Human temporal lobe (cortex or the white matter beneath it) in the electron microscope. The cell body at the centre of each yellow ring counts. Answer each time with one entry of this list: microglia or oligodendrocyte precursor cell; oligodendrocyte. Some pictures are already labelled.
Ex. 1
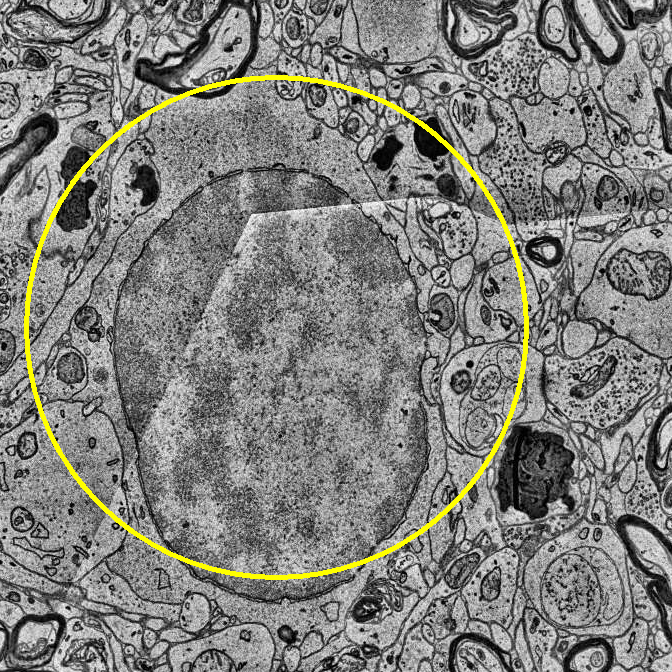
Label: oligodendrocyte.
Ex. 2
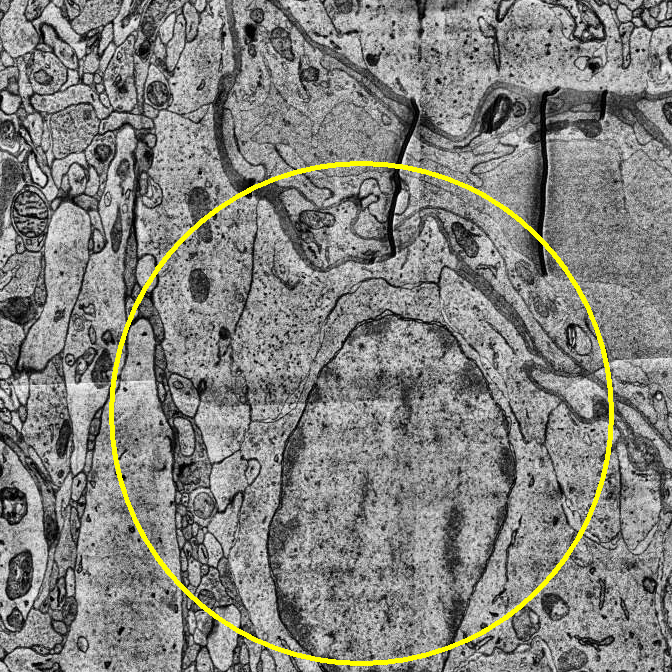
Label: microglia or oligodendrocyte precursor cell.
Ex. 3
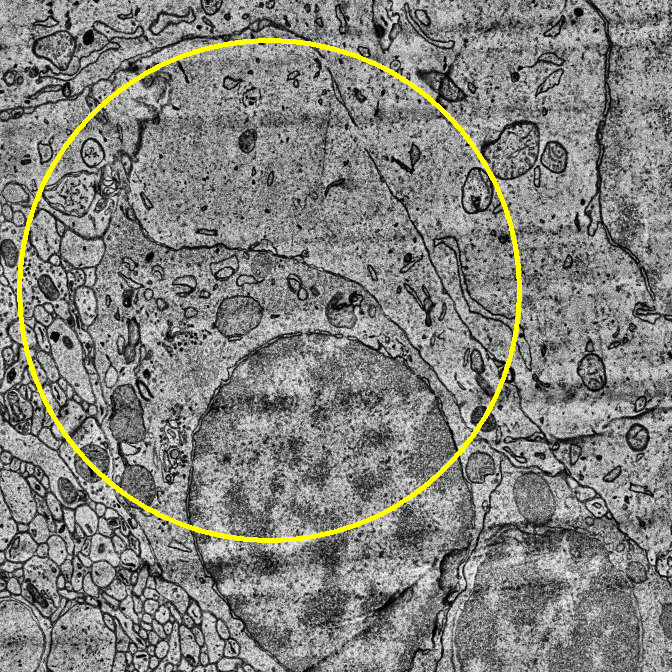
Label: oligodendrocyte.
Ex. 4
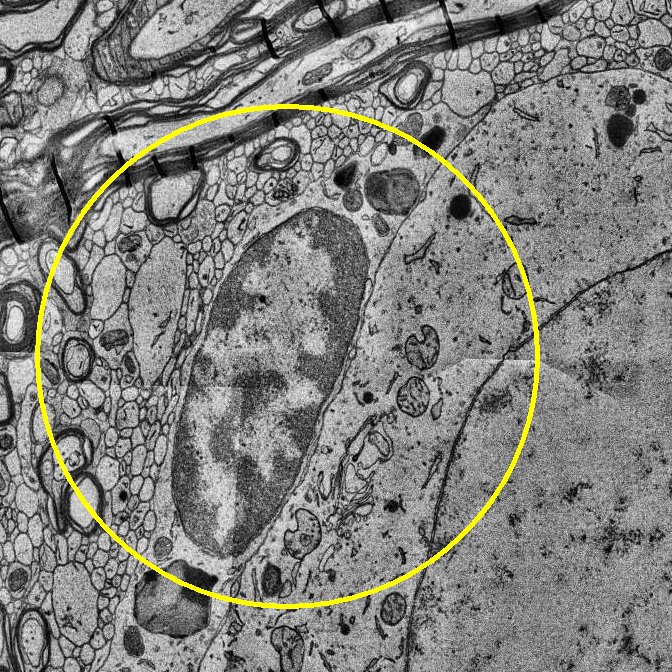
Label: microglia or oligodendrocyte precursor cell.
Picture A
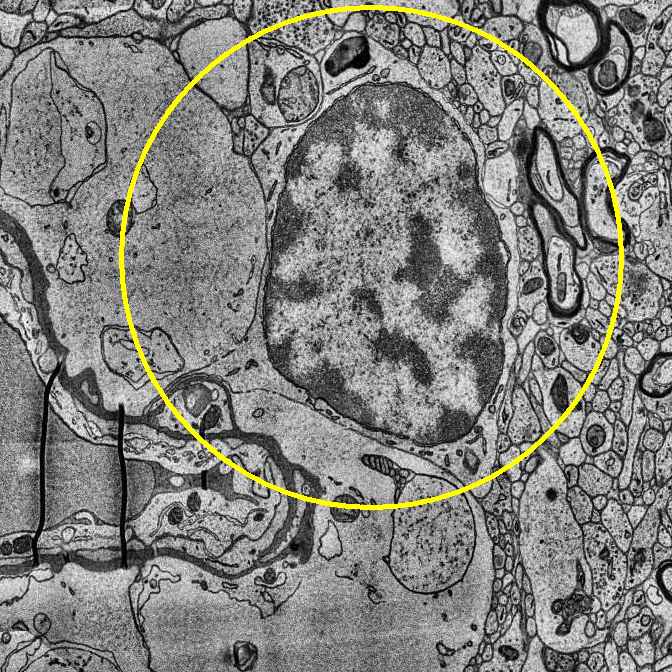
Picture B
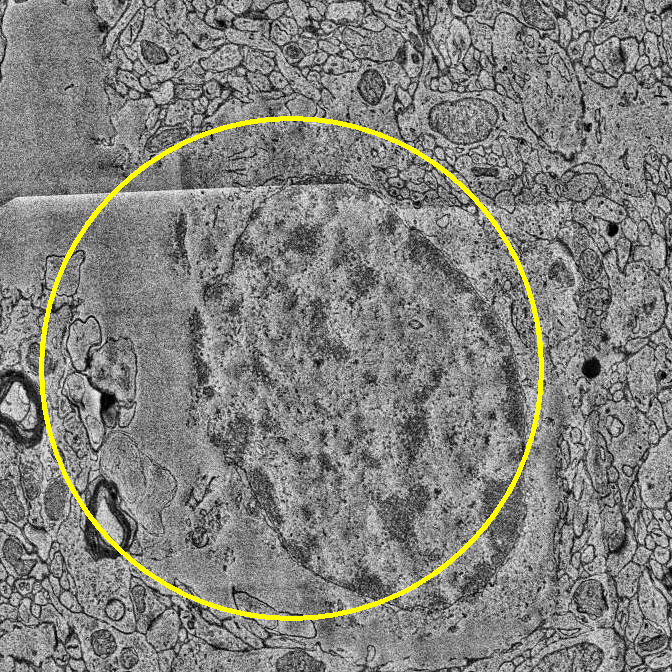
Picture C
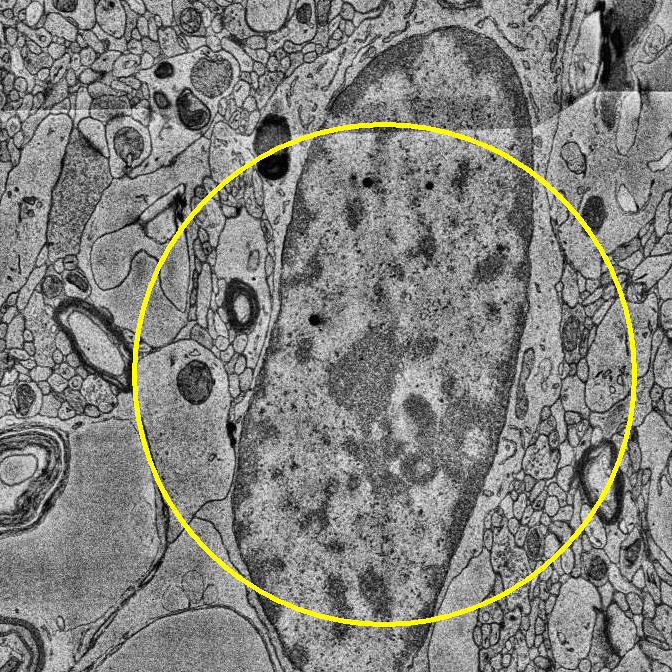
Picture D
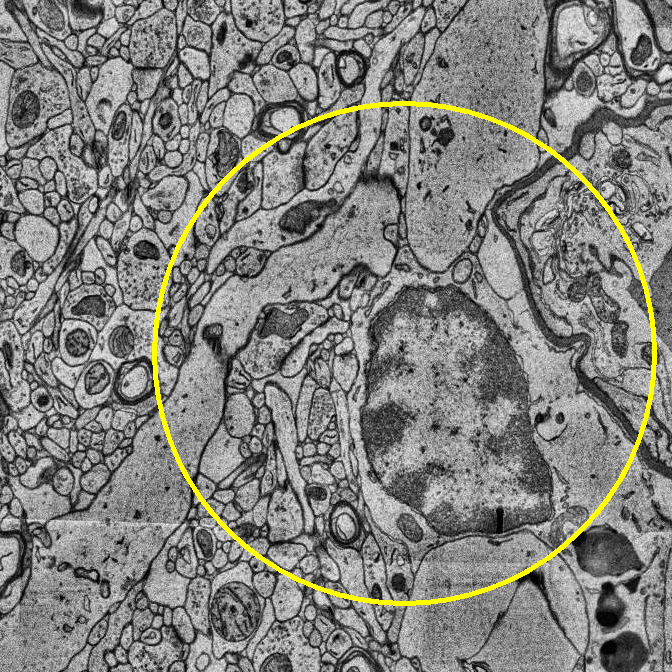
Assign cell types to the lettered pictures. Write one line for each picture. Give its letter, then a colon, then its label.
A: microglia or oligodendrocyte precursor cell.
B: microglia or oligodendrocyte precursor cell.
C: microglia or oligodendrocyte precursor cell.
D: microglia or oligodendrocyte precursor cell.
